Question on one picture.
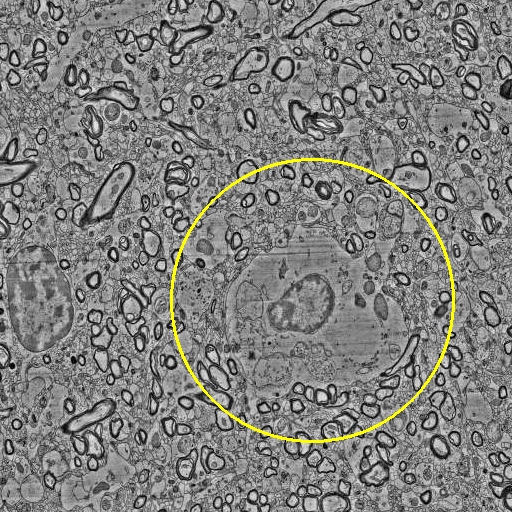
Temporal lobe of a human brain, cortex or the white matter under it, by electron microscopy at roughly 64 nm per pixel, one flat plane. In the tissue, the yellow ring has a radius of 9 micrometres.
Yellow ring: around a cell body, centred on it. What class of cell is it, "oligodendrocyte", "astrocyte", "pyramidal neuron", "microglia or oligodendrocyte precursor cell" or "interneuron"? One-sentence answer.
This is an astrocyte, the cell the ring is centred on.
